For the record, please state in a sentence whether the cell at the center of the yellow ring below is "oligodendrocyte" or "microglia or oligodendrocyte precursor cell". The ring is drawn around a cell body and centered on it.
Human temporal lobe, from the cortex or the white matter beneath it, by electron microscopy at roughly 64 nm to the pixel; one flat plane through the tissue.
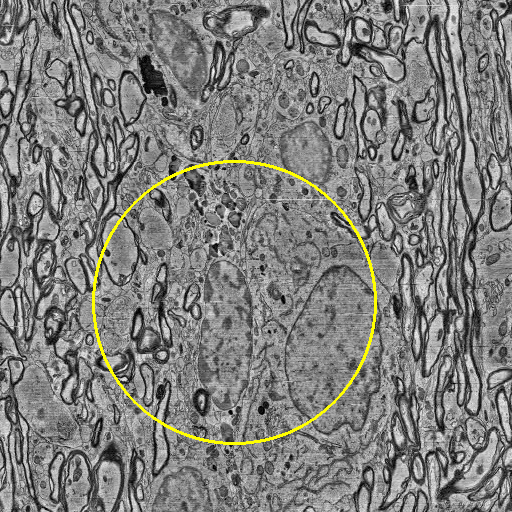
The cell at the ring's center is a microglial cell or oligodendrocyte precursor cell.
